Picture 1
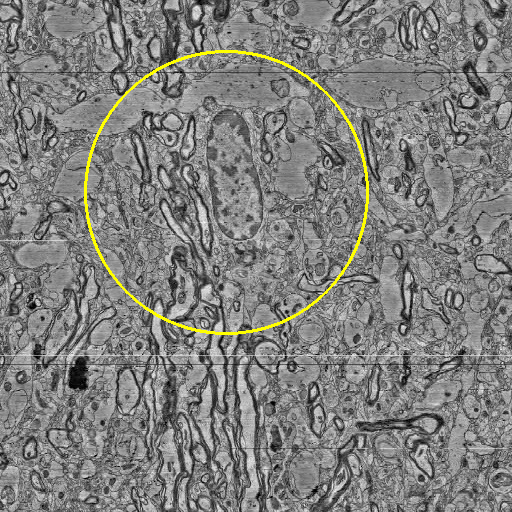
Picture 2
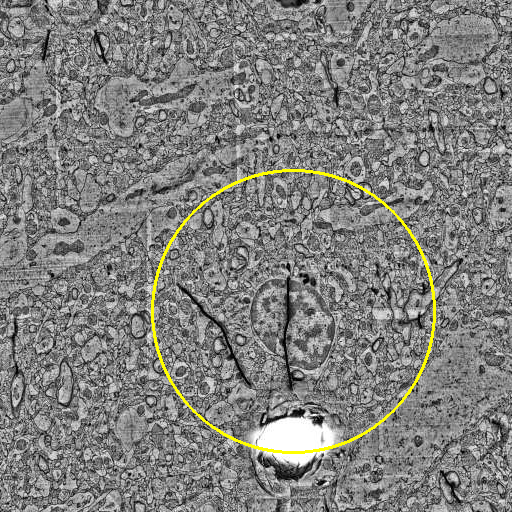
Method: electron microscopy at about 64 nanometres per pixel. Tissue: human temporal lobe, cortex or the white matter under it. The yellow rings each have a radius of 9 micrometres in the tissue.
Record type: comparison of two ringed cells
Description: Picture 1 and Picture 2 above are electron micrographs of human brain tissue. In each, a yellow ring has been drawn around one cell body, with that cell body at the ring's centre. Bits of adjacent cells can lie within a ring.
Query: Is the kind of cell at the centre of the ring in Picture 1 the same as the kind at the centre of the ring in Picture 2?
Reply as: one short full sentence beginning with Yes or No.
Yes, the two ringed cells are of the same kind.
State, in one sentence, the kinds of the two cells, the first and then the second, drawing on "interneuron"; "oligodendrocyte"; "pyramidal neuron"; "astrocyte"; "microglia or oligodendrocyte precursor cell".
The cell in the first picture is a microglial cell or oligodendrocyte precursor cell, and so is the one in the second.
